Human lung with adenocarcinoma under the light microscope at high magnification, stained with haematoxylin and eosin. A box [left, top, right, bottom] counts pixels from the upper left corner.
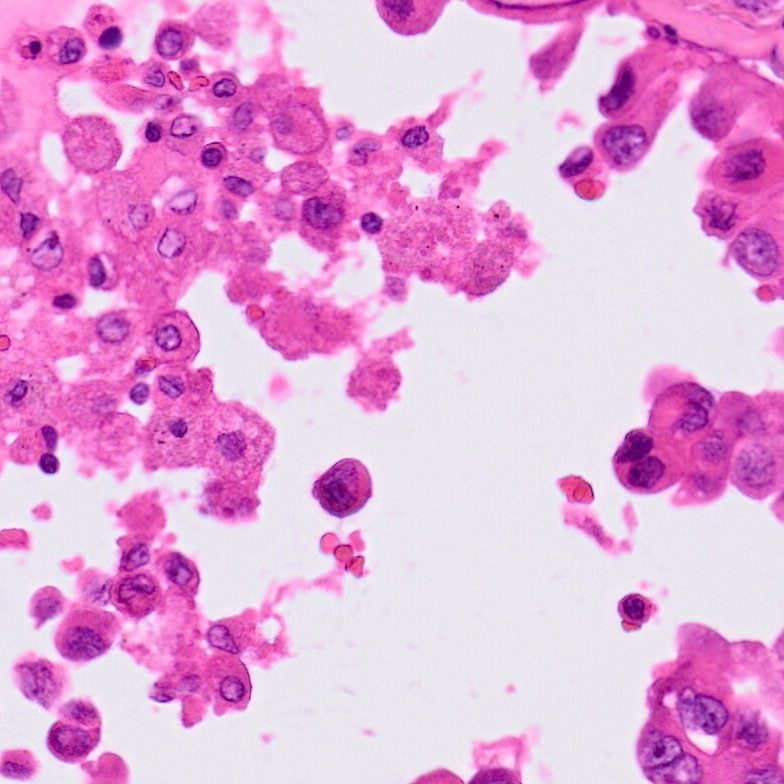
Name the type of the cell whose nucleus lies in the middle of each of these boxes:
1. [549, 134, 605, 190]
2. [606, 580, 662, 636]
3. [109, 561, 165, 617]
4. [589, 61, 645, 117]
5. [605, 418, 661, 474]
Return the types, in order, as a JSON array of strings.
["carcinoma cell", "macrophage or monocyte", "macrophage or monocyte", "carcinoma cell", "carcinoma cell"]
